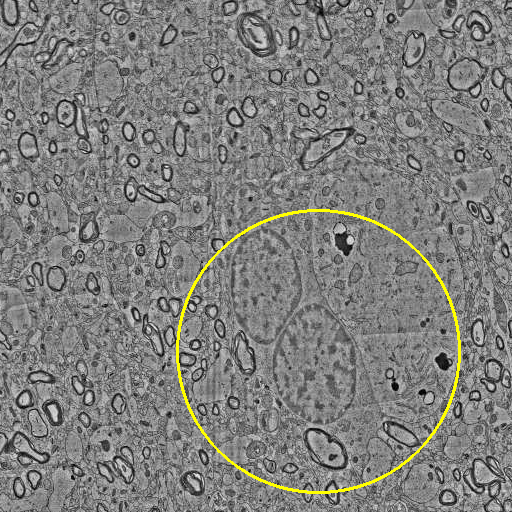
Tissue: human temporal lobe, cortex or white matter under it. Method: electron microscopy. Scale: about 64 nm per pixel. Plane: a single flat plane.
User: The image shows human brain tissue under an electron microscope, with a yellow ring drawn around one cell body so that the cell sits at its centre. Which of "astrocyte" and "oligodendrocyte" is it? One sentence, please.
At the centre of the ring sits an oligodendrocyte.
